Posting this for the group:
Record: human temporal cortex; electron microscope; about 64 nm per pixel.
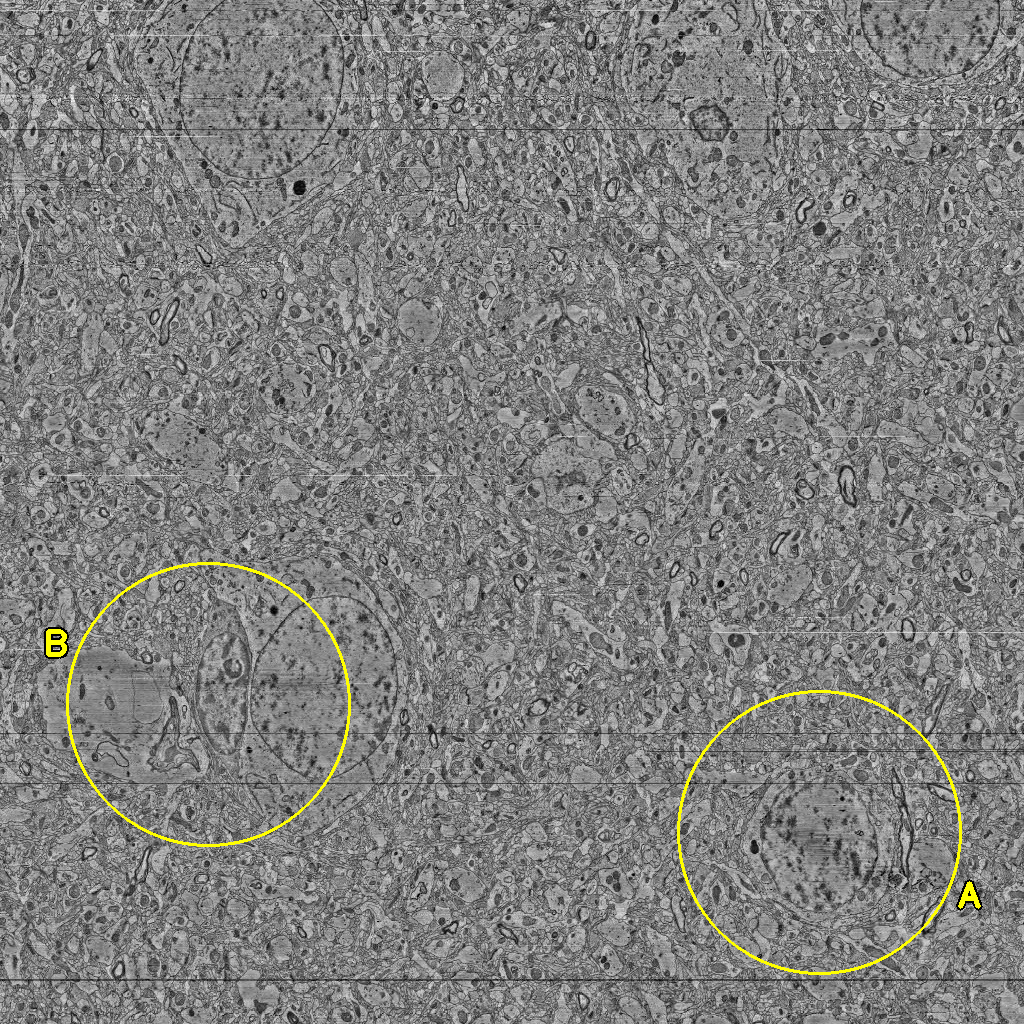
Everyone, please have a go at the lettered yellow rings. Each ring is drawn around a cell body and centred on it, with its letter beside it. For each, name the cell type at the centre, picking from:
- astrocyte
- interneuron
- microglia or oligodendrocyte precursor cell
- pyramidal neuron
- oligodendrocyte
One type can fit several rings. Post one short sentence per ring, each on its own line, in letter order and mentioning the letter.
My call for ring A is an interneuron.
My call for ring B is an oligodendrocyte.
